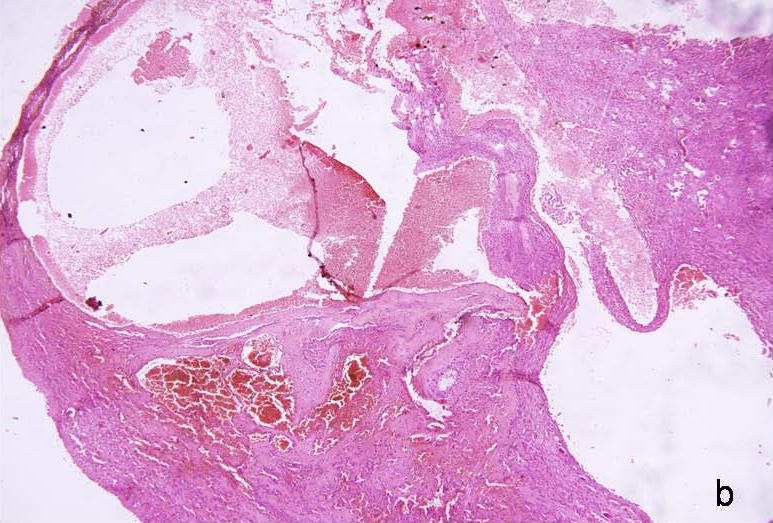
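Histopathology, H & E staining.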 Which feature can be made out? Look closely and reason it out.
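Blood filled cystic spaces. Large rounded spaces are separated by pink-staining septa. Several spaces contain red-staining blood, some pale pink material.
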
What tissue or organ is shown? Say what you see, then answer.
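The walls of the spaces are made of pink fibrous tissue. Many small dark nuclei are scattered through the walls.
Conclusion: cellular fibrous tissue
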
